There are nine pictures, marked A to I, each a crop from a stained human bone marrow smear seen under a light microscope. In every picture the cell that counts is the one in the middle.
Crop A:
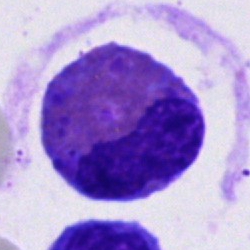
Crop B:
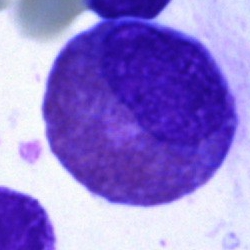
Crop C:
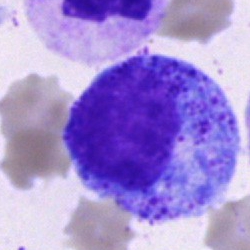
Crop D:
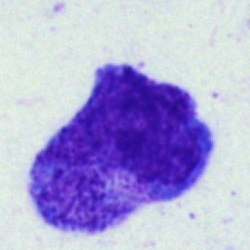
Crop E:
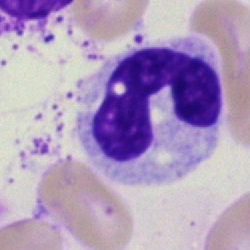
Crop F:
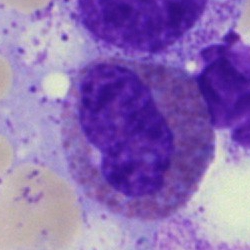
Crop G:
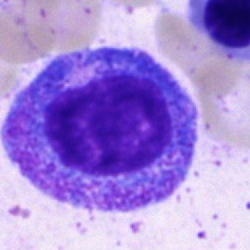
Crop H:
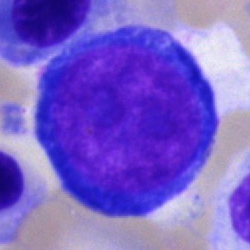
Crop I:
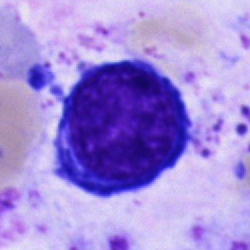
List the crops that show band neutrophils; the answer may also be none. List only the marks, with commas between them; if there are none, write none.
E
